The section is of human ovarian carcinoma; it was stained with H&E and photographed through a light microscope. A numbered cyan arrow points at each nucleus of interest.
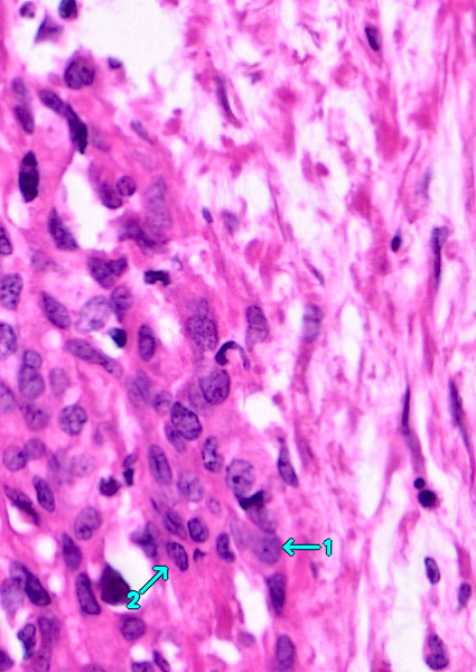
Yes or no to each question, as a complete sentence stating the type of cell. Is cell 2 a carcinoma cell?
No, cell 2 is not a carcinoma cell: it is a macrophage or monocyte.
